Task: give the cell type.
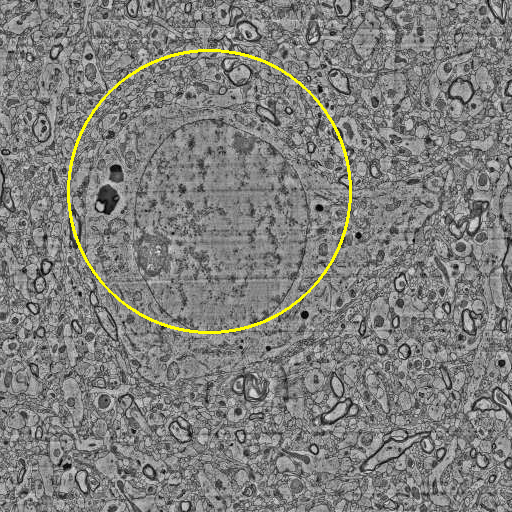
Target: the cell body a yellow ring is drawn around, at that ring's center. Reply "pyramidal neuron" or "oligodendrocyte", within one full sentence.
In this picture, the cell whose body lies at the ring's center is a pyramidal neuron.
